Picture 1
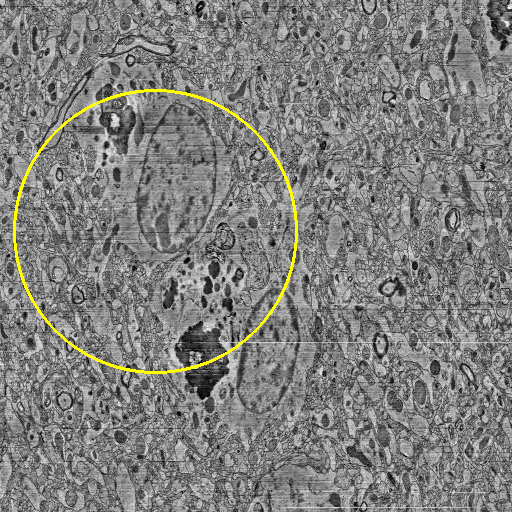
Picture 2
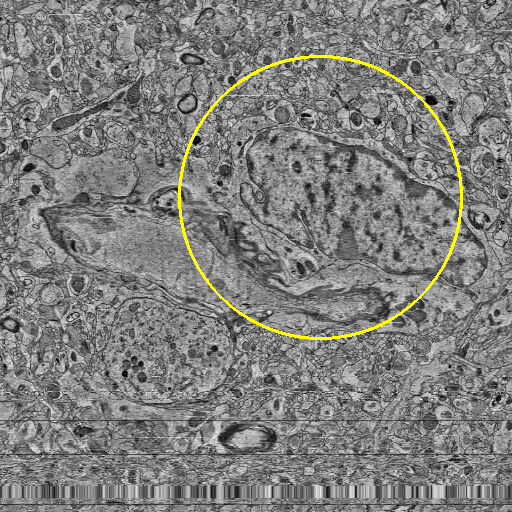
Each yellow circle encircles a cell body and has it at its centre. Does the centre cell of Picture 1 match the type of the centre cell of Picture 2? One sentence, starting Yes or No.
No, the cell centred in Picture 1 and the one in Picture 2 have separate types.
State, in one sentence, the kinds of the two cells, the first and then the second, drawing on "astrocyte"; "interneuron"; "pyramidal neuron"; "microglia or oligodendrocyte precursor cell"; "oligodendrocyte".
The ring in the second picture is centred on a microglial cell or oligodendrocyte precursor cell, the ring in the first on an astrocyte.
